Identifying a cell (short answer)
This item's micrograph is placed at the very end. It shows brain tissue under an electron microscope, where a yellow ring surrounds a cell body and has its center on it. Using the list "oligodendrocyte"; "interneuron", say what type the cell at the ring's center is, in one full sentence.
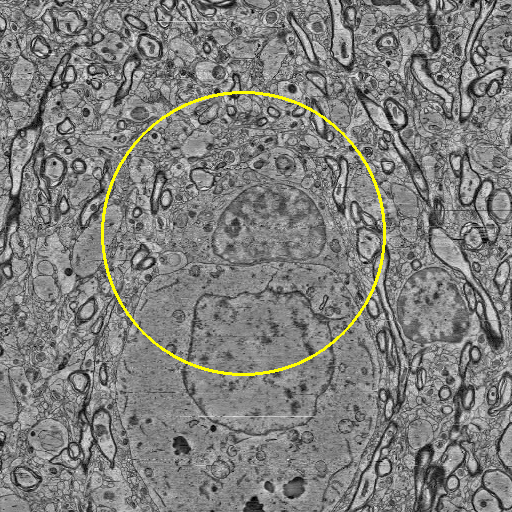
This picture shows an oligodendrocyte at the center of the yellow ring drawn on it.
